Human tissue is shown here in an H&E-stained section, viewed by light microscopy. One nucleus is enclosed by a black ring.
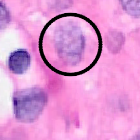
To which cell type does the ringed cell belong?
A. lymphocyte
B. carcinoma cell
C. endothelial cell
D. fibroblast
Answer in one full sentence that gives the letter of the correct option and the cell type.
The right pick is option B; the ringed cell is a carcinoma cell.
